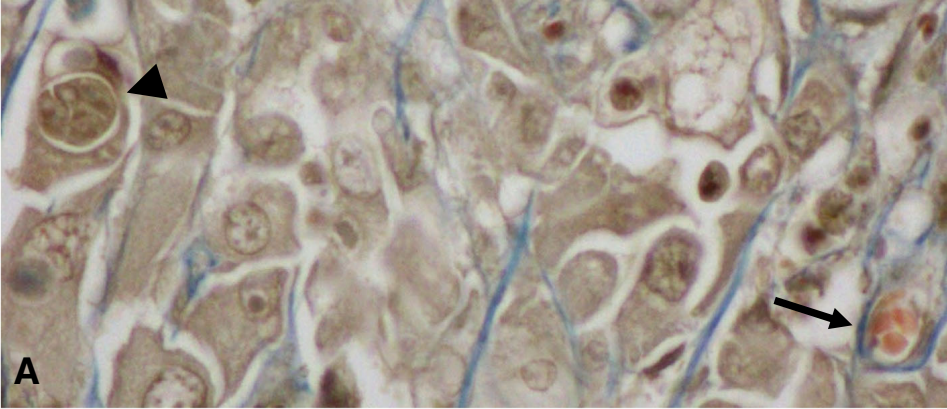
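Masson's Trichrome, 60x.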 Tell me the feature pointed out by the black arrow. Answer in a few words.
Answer: Intratumoral capillaries.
